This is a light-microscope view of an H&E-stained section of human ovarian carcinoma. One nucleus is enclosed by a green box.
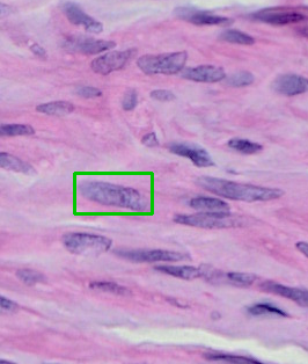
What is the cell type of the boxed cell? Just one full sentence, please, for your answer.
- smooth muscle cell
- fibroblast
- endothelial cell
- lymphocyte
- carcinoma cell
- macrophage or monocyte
In terms of identity, the boxed cell is a smooth muscle cell.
